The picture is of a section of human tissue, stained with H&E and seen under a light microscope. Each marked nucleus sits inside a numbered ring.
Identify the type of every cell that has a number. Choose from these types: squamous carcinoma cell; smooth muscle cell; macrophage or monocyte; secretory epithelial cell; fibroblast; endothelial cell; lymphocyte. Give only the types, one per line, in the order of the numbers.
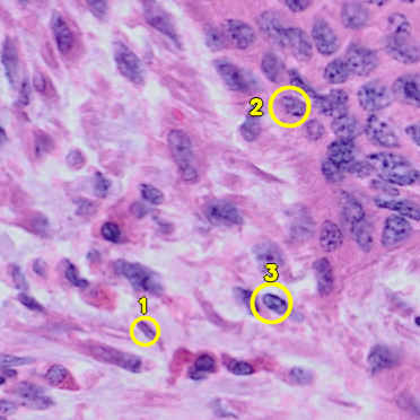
fibroblast
squamous carcinoma cell
lymphocyte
